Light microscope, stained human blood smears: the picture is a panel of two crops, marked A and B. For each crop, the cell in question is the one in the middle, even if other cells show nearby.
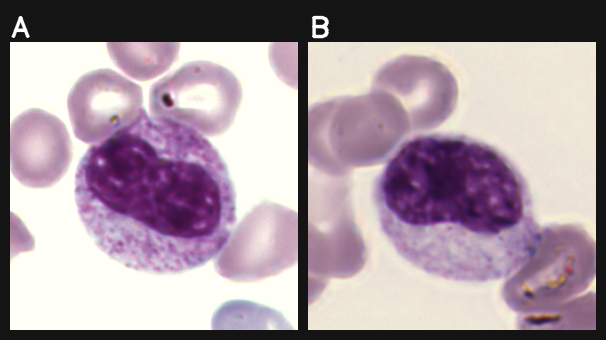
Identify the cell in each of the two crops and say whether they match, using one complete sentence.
Yes, metamyelocytes are what the two crops show.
